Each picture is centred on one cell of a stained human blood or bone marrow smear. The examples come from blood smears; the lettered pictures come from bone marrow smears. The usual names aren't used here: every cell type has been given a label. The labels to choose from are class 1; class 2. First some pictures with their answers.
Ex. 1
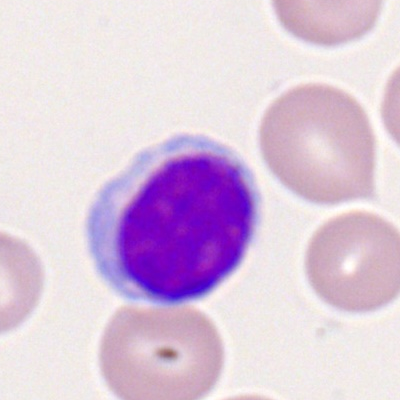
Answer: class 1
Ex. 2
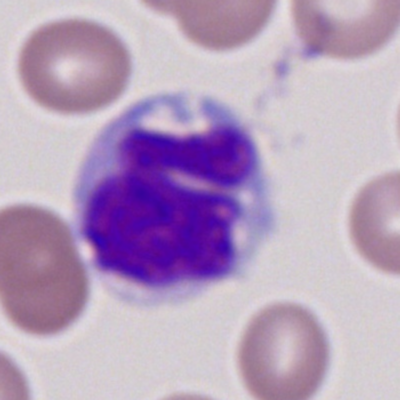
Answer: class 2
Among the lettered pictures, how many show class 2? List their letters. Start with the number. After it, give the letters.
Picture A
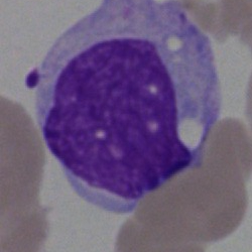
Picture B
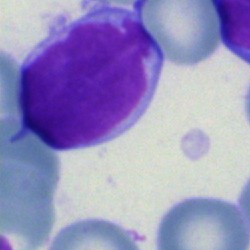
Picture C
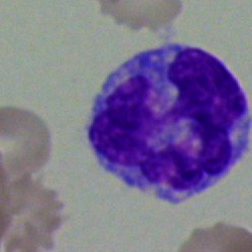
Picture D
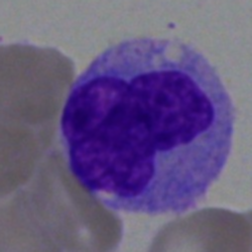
3: A, C, D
